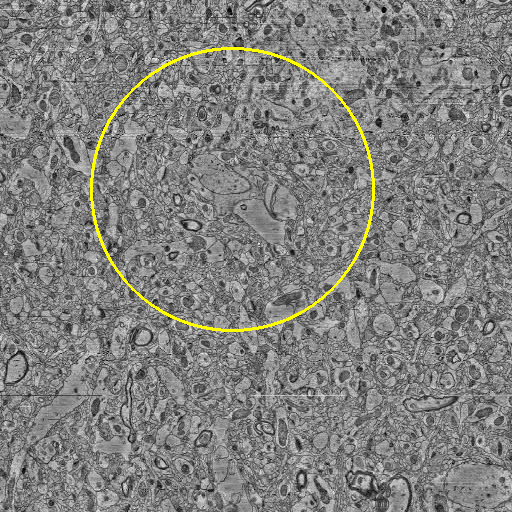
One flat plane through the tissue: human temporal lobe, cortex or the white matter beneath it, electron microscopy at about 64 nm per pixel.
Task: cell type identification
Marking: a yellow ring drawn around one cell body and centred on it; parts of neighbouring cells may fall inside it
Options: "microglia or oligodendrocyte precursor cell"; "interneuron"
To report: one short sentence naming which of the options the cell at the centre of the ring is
The cell at the centre of the ring is a microglial cell or oligodendrocyte precursor cell.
